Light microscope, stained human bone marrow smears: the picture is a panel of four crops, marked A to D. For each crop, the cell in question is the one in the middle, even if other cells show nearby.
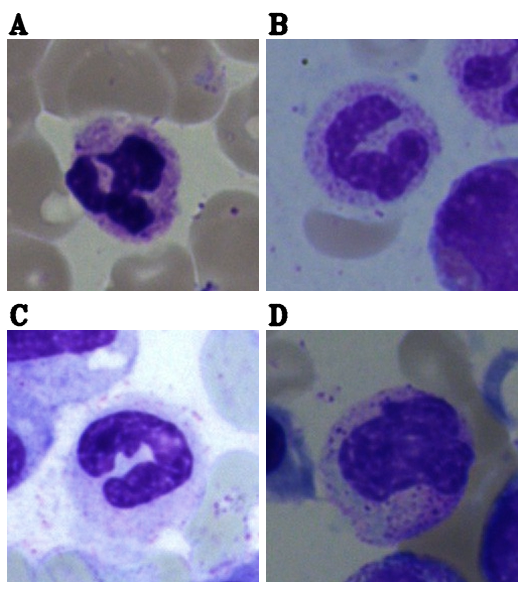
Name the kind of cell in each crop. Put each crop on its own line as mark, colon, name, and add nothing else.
A: segmented neutrophil
B: band neutrophil
C: segmented neutrophil
D: band neutrophil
